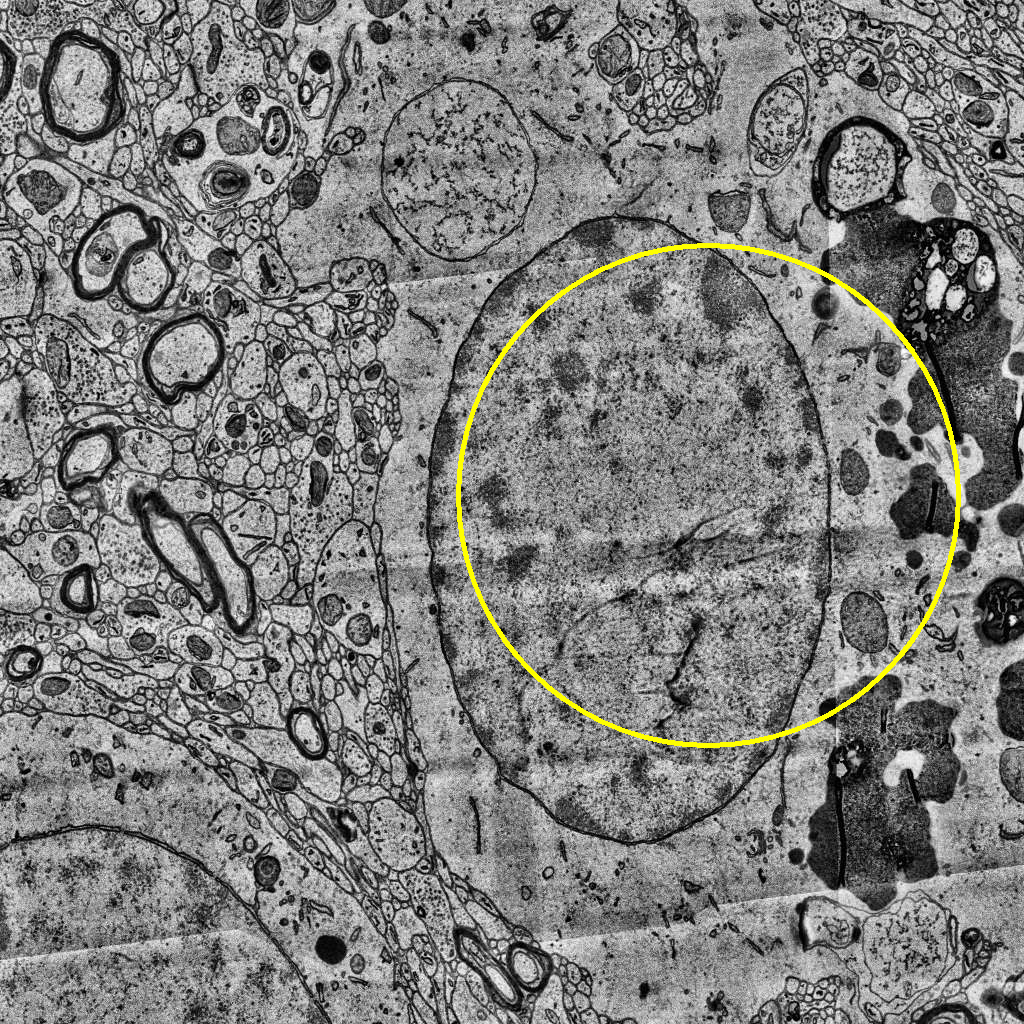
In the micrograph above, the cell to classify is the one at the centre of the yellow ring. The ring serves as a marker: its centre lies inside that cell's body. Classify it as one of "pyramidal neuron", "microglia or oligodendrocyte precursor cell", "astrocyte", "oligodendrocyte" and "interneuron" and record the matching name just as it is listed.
astrocyte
